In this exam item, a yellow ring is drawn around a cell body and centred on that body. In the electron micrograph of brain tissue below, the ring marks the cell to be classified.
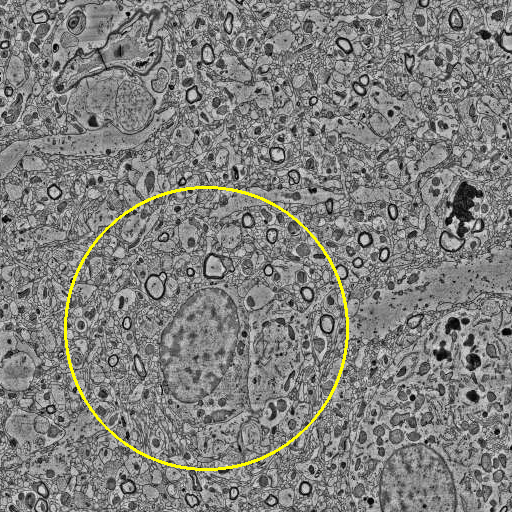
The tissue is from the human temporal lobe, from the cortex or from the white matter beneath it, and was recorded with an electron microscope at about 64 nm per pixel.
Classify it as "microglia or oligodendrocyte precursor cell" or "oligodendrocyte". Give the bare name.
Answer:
oligodendrocyte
